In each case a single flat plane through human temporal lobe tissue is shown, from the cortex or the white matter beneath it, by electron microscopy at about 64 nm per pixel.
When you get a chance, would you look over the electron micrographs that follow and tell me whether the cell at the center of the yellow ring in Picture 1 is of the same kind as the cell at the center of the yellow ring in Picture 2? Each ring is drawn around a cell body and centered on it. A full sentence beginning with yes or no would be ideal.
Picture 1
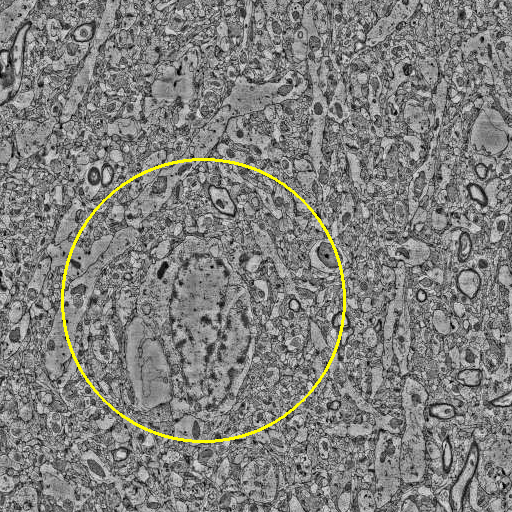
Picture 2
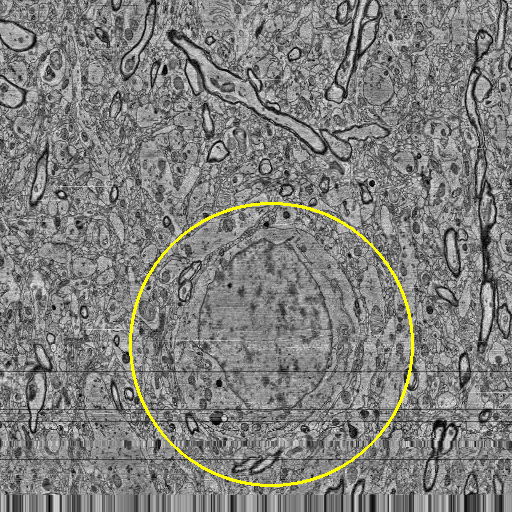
Yes, the two cells are of the same kind.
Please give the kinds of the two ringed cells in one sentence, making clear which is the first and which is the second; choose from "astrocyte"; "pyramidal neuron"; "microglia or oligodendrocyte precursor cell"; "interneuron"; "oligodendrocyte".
Each of the ringed cells, first and second, is an interneuron.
